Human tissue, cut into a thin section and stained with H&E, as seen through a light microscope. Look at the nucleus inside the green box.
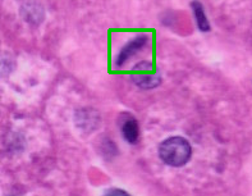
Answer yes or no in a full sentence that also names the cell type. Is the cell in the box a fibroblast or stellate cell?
Yes, as far as cell type goes, the cell in the box is a fibroblast or stellate cell.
